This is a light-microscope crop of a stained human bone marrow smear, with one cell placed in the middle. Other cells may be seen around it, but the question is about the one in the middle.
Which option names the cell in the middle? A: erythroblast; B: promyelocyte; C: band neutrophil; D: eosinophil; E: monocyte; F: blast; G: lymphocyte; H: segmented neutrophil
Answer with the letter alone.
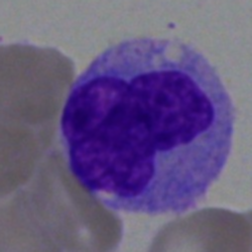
E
